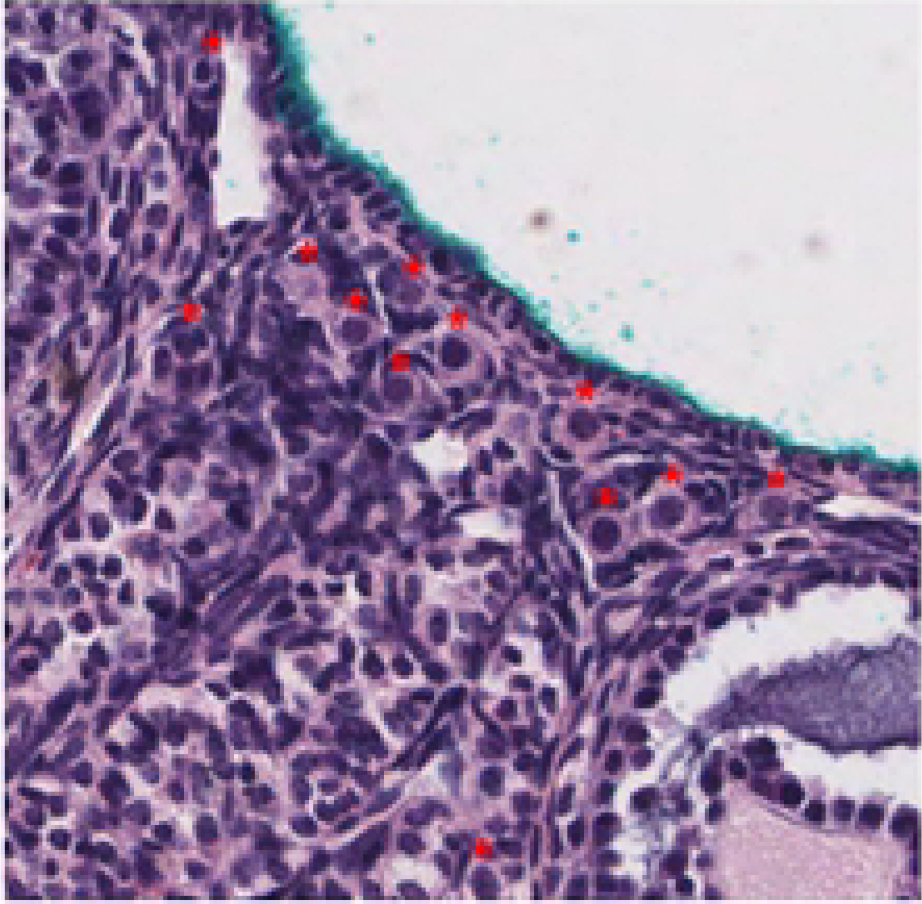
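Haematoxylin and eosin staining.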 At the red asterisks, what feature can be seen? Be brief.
Primordial follicles.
